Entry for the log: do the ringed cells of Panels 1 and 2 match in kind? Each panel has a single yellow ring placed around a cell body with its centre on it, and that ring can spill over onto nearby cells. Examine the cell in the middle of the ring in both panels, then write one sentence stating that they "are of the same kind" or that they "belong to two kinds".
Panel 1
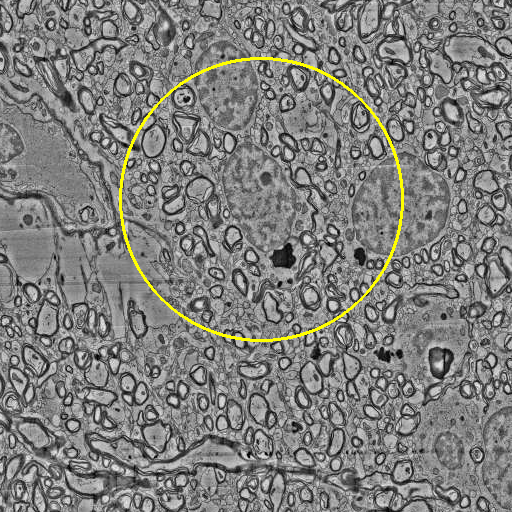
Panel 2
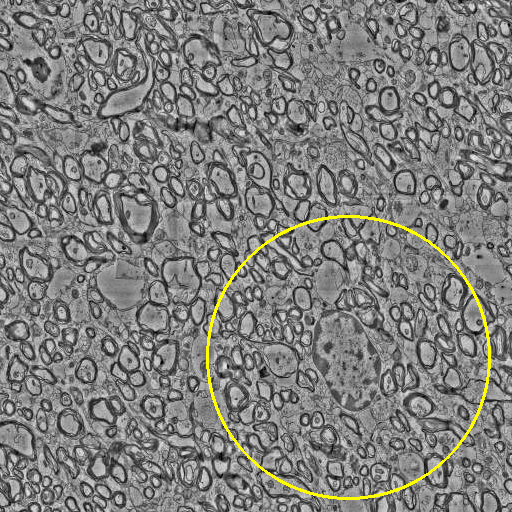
The centre cell of Panel 1's ring and that of Panel 2's ring belong to two kinds.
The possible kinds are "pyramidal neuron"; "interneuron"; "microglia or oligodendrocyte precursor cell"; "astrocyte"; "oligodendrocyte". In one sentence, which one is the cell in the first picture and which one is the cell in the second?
The cell ringed in the second picture is a microglial cell or oligodendrocyte precursor cell, whereas the one ringed in the first is an oligodendrocyte.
